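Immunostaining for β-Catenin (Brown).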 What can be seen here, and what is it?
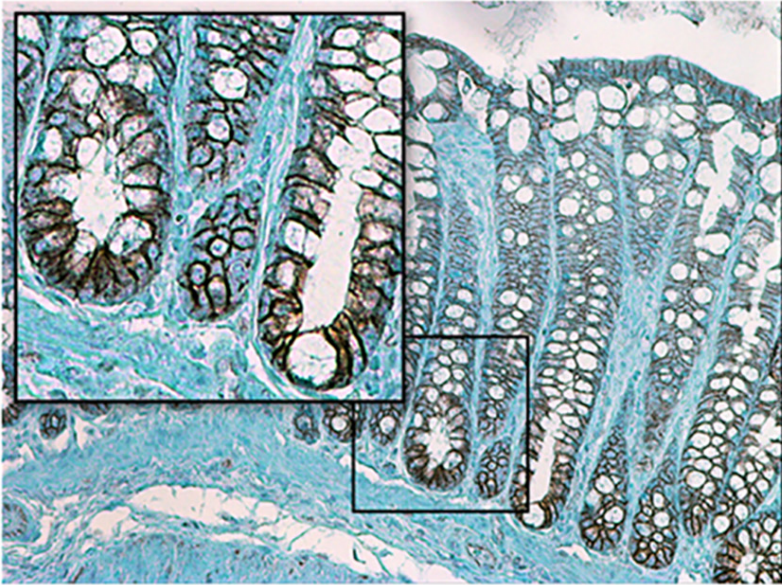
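This is colonic mucosa with straight tubular crypts. The crypts are lined by columnar epithelial cells and numerous goblet cells, whose pale, rounded mucin vacuoles give the epithelium a honeycomb look. Brown staining mainly outlines the borders of the epithelial cells and is strongest toward the crypt bases, while the lamina propria between the crypts is blue-green.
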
